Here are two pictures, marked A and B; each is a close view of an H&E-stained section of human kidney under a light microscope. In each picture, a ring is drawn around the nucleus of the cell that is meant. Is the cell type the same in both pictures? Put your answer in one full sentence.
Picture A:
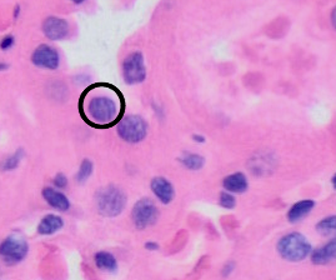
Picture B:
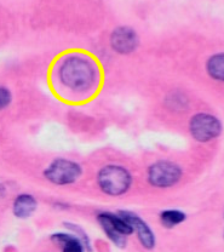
No, the types are not the same, since picture A shows a “loop of Henle or distal tubule cell” and picture B a proximal tubule cell.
